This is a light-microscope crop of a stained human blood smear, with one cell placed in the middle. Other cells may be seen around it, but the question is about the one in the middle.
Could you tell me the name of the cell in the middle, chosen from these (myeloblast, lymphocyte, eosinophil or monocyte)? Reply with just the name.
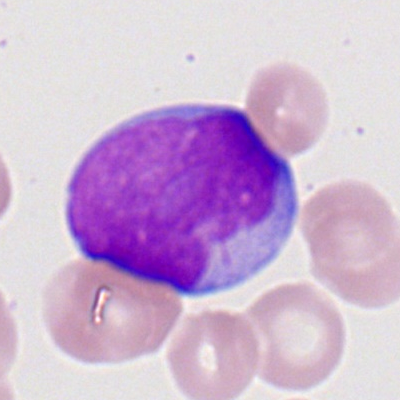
myeloblast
